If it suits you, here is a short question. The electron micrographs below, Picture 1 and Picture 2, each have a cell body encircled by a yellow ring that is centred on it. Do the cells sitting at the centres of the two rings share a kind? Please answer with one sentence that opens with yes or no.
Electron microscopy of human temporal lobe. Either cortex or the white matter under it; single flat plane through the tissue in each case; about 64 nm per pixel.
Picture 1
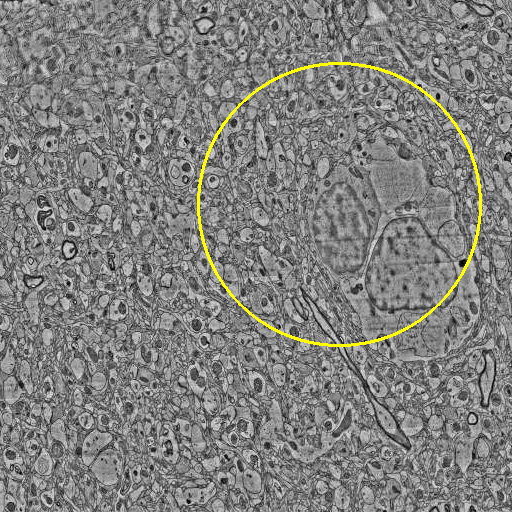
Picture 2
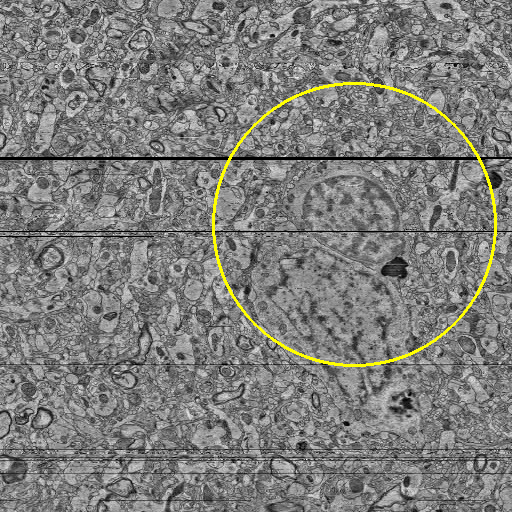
Yes, the two cells sitting at the ring centres share a single kind.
